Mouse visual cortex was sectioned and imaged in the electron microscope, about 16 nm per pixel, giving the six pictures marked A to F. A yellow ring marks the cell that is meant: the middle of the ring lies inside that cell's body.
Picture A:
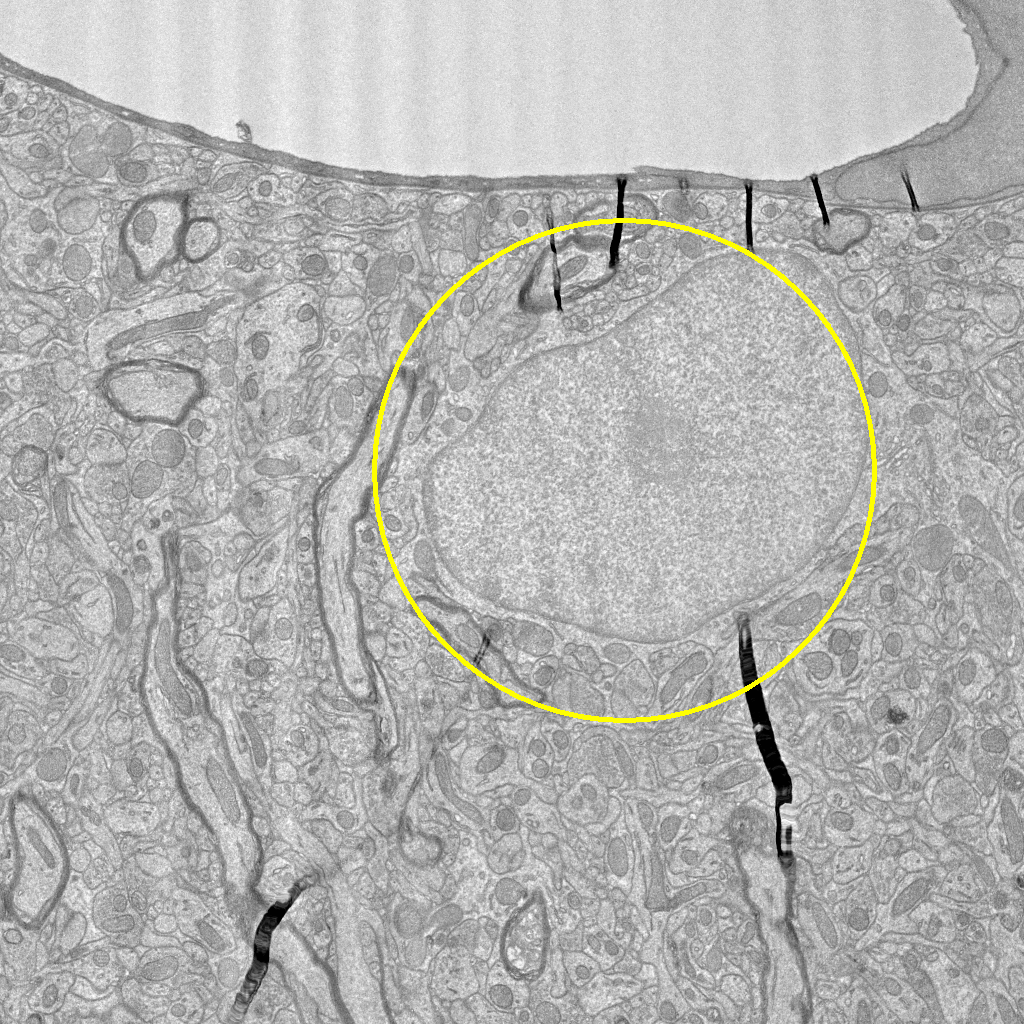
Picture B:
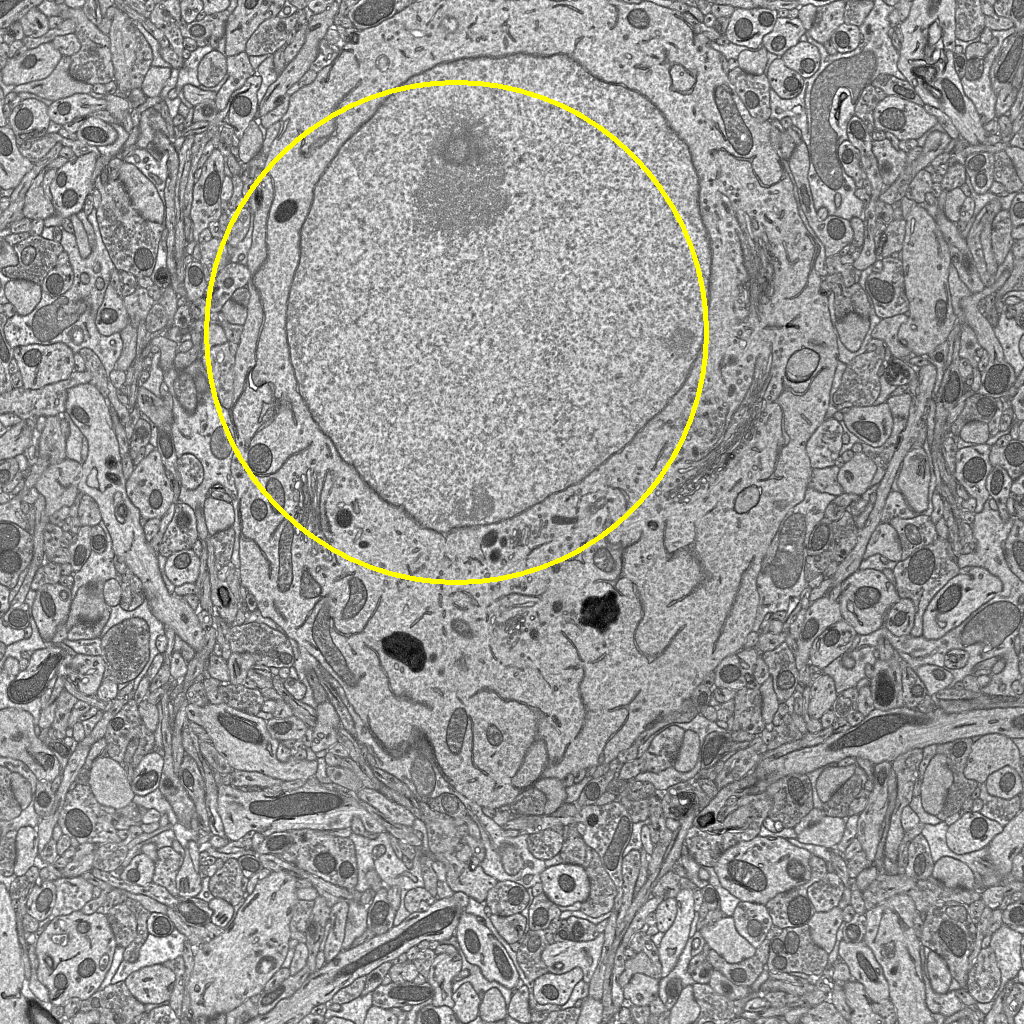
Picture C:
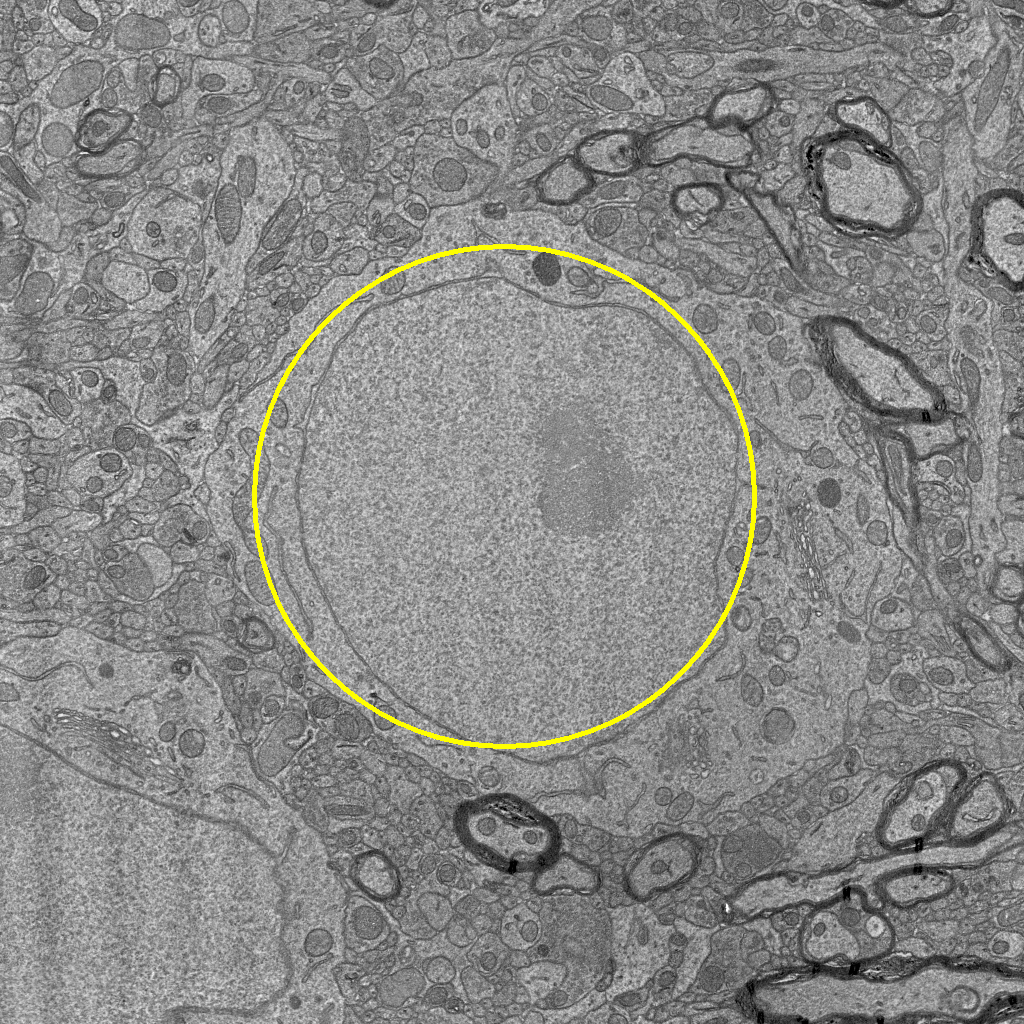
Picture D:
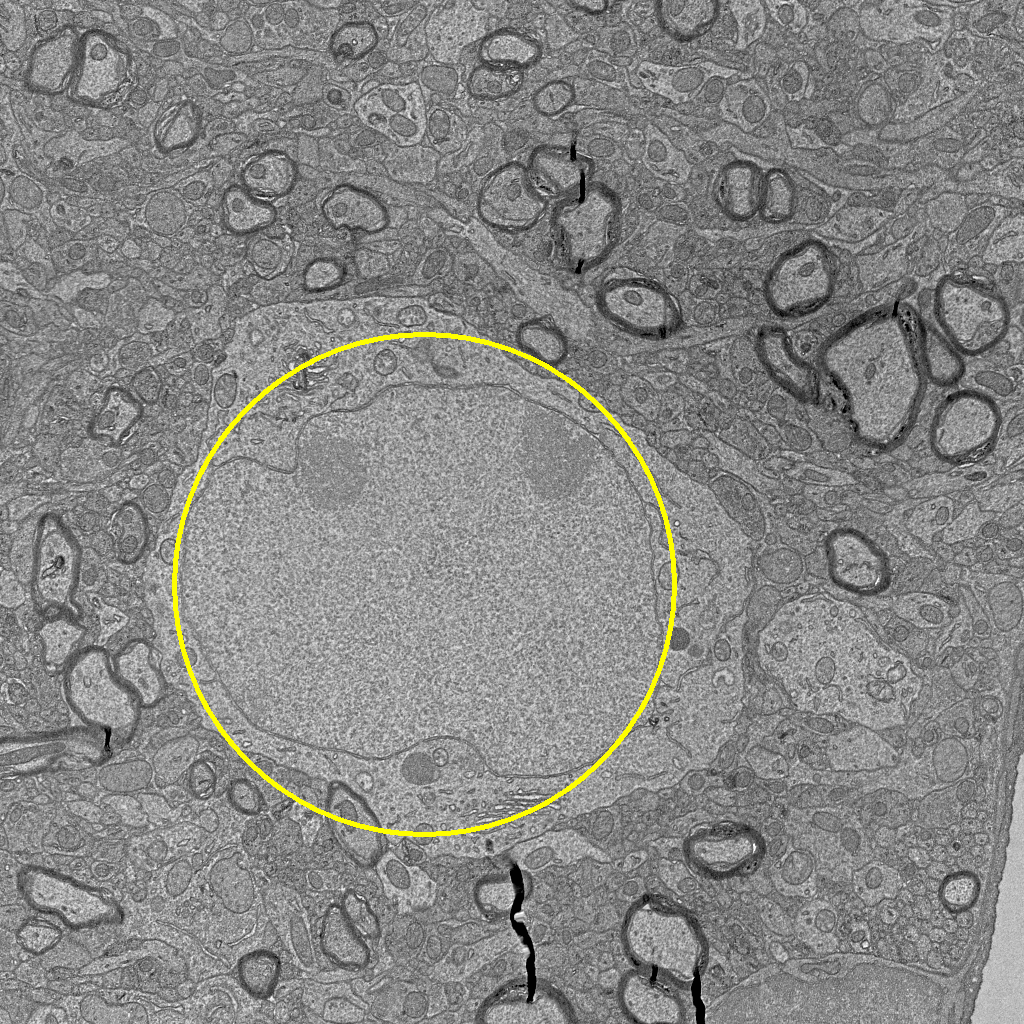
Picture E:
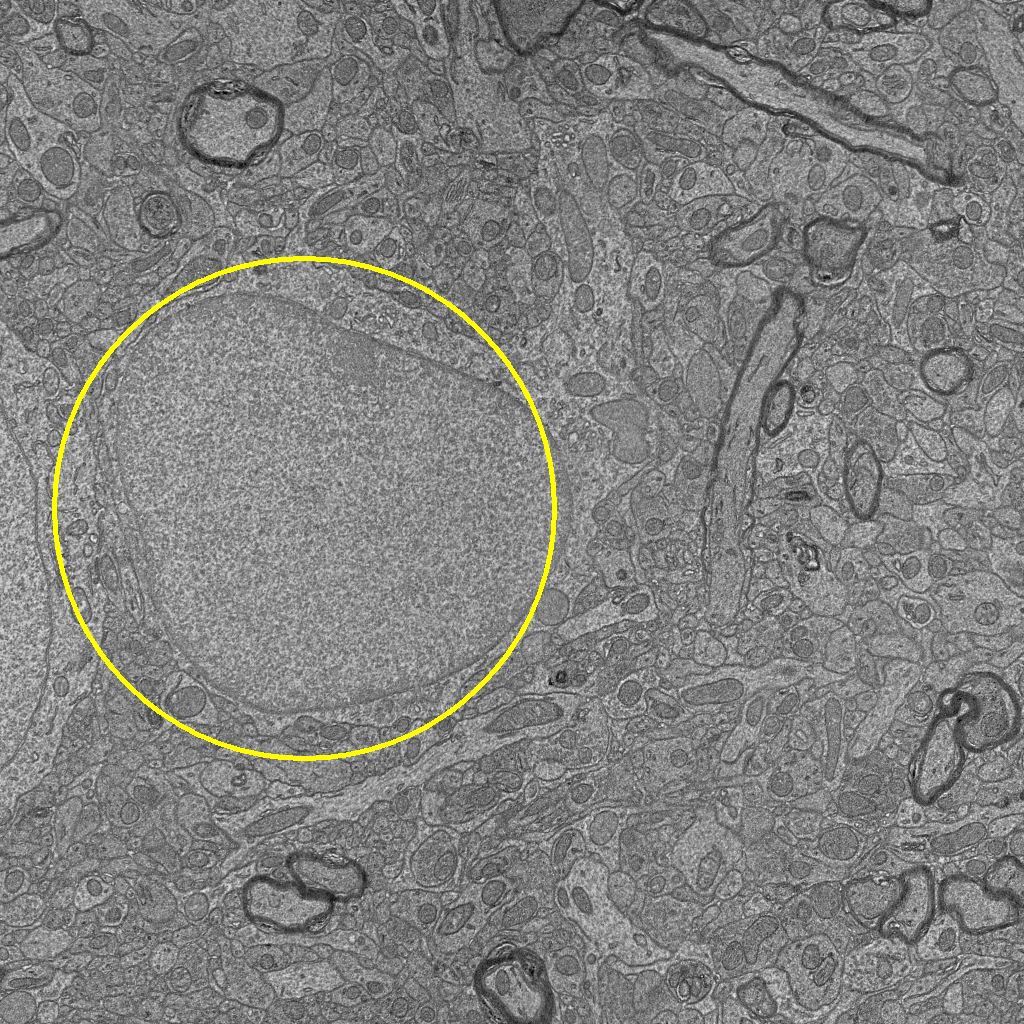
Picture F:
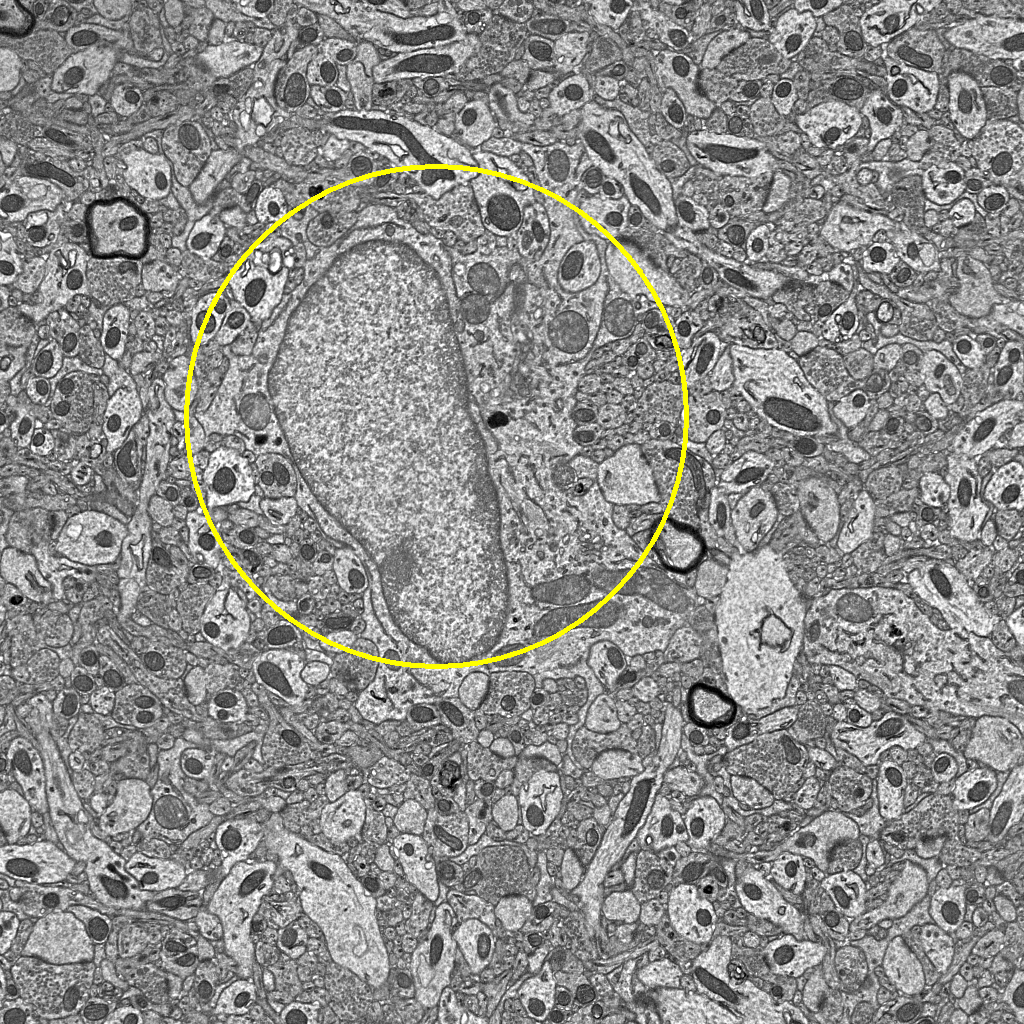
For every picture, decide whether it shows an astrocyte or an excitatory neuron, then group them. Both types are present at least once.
Pictures A, E and F show astrocytes, while pictures B, C and D show excitatory neurons.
